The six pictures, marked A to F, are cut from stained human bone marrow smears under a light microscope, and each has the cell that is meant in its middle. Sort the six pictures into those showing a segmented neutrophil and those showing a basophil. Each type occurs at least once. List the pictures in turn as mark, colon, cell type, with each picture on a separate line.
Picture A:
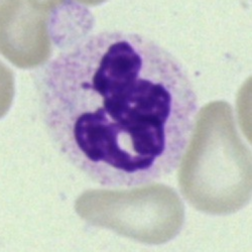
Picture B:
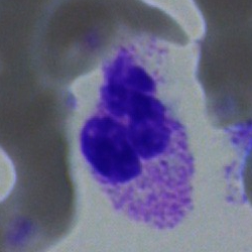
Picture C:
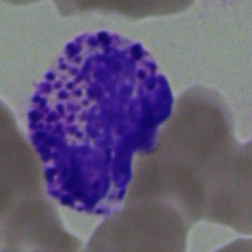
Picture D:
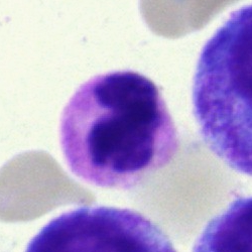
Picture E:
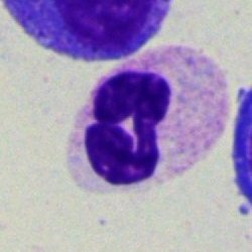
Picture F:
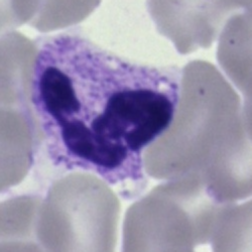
A: segmented neutrophil
B: segmented neutrophil
C: basophil
D: basophil
E: segmented neutrophil
F: segmented neutrophil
